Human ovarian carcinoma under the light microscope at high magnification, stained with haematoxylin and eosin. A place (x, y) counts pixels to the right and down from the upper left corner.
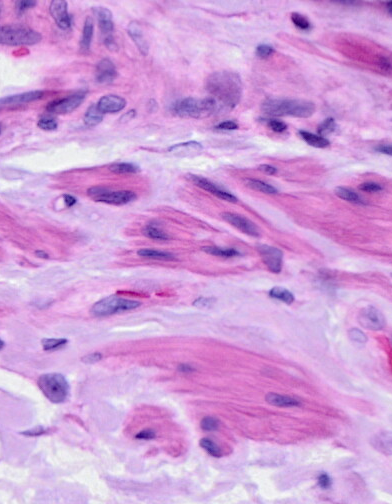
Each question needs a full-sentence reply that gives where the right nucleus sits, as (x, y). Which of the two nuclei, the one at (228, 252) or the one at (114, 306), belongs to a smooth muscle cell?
The nucleus whose position is (228, 252) belongs to a smooth muscle cell.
